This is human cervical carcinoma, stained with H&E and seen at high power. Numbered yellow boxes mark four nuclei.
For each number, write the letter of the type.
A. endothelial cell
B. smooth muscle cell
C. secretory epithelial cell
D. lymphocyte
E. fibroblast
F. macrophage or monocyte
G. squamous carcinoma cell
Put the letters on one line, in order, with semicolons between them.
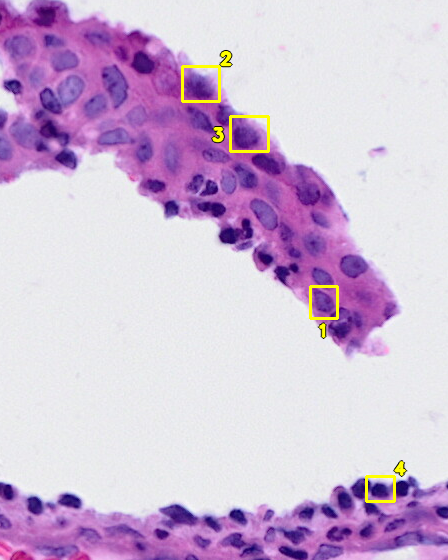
C; C; C; D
